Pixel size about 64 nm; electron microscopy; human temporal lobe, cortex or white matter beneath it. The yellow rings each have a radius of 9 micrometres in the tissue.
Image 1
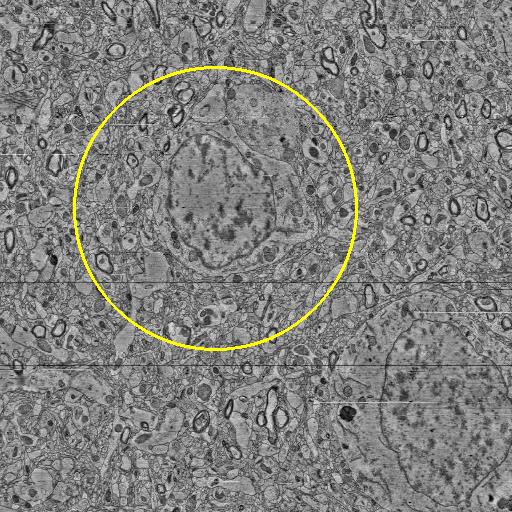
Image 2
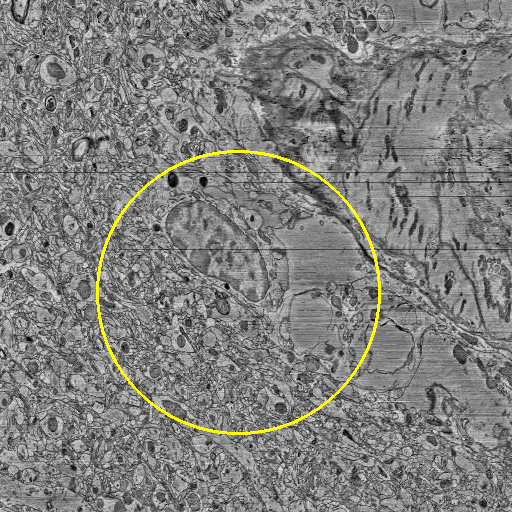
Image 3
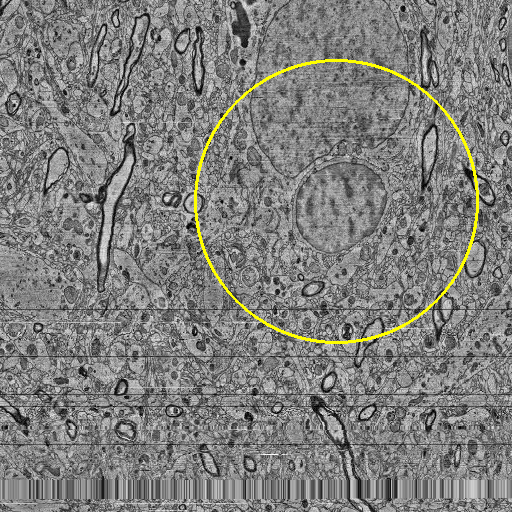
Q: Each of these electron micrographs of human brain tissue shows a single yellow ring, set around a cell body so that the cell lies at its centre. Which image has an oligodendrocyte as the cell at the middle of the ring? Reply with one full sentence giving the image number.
In image 3, the cell lying at the ring's centre is the requested one.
